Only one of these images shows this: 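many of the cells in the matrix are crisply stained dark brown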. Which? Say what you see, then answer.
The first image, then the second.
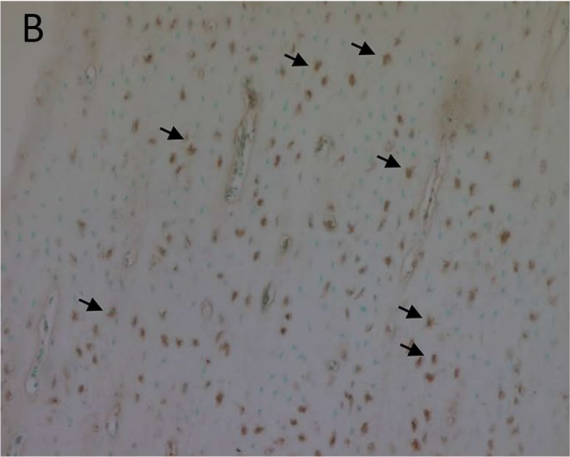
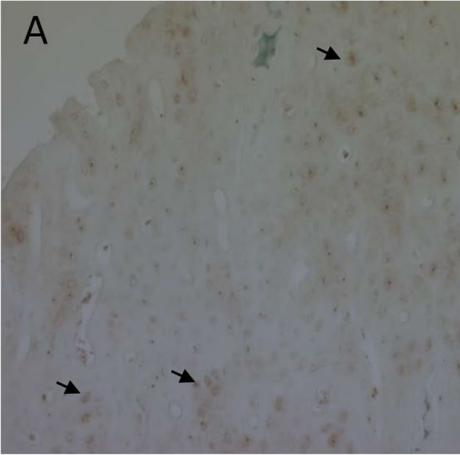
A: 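First image: numerous small cells throughout the field are distinctly dark brown. Second image: the brown is fainter and more diffuse, with fewer crisply stained cells.
Conclusion: the first image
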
